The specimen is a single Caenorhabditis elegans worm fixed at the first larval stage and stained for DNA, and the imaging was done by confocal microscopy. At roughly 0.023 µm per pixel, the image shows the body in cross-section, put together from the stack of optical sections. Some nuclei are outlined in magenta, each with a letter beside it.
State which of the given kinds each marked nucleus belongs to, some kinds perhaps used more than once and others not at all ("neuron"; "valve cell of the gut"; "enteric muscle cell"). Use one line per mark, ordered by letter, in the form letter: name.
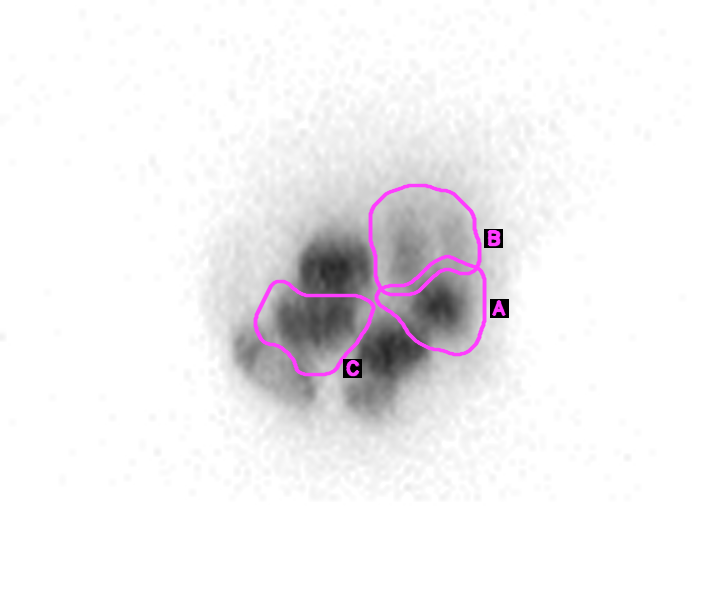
A: neuron
B: enteric muscle cell
C: valve cell of the gut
